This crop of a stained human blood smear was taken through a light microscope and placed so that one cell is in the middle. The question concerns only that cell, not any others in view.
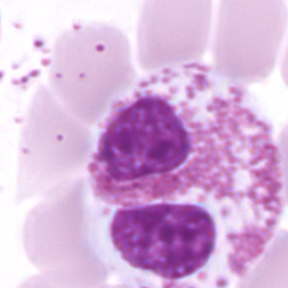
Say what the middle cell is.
eosinophil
